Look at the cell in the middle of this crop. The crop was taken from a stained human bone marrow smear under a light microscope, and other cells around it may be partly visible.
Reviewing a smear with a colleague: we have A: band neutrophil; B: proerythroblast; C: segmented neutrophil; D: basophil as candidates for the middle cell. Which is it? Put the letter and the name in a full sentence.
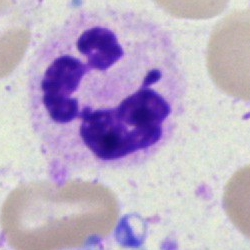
Option C correctly states that the central cell is a segmented neutrophil.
